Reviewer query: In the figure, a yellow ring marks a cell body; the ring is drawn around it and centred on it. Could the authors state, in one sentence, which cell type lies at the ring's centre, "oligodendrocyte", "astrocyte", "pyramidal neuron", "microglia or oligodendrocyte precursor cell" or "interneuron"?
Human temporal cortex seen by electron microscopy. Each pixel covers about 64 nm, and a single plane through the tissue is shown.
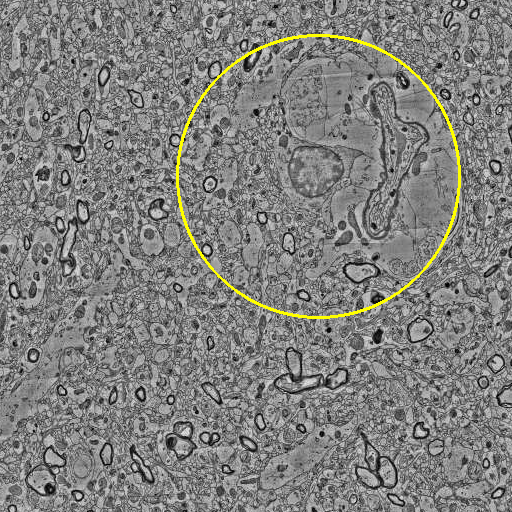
The ring is centred on an oligodendrocyte.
